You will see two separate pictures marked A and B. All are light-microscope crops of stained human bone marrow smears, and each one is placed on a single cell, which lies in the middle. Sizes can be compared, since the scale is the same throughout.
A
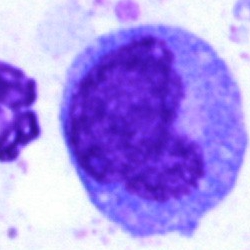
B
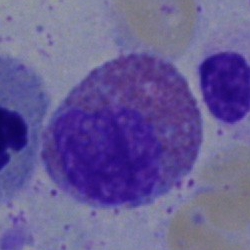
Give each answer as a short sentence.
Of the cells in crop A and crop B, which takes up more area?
Larger is the cell in crop A, at roughly 1.5 times the area of the other.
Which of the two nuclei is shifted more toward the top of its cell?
Seen within its cell, the nucleus in crop A lies further toward the top.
